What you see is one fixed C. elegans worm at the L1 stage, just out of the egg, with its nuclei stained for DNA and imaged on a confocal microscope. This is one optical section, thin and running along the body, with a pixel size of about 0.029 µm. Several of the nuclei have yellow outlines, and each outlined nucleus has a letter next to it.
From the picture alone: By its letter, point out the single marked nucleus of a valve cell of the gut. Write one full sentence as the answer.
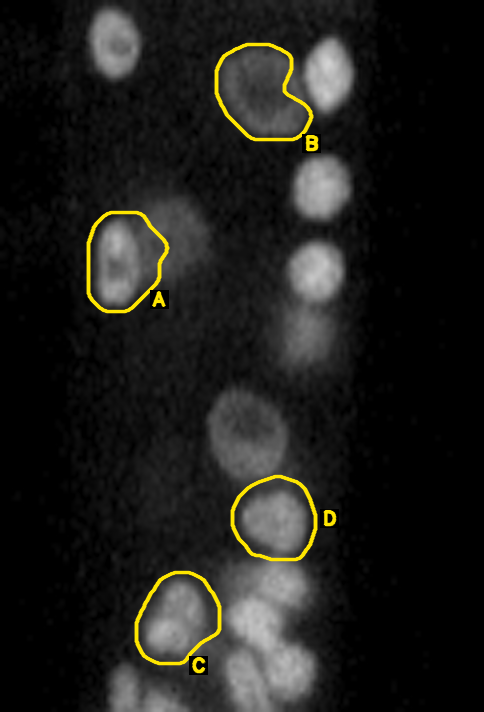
C is the nucleus of a valve cell of the gut.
